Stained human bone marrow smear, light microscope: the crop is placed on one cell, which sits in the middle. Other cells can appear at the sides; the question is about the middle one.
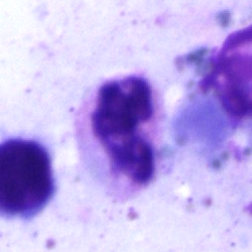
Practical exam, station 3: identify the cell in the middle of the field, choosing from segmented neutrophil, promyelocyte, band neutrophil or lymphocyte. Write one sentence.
The central element of this crop is a cell, namely a segmented neutrophil.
